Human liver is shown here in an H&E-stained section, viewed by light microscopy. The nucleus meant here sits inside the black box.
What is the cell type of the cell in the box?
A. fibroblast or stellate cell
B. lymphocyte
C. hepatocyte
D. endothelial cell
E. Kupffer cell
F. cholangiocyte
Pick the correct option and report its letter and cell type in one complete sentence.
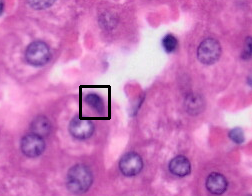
Option A gives the correct identity of the cell in the box, which is a fibroblast or stellate cell.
